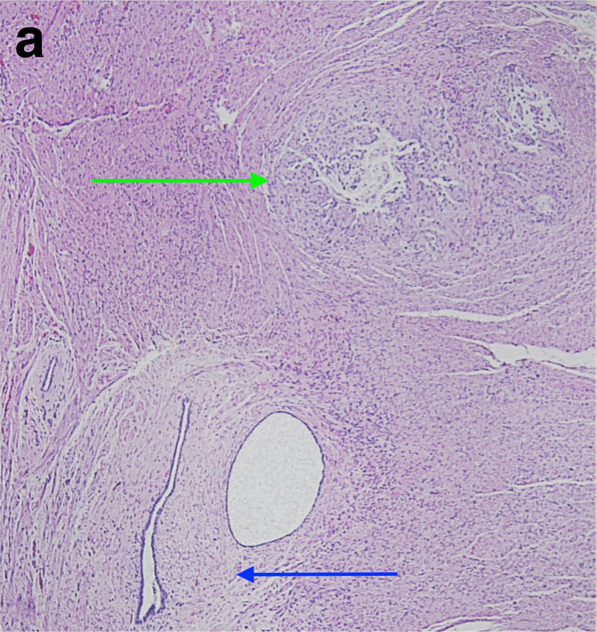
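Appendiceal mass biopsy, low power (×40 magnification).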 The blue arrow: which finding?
Endometriosis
